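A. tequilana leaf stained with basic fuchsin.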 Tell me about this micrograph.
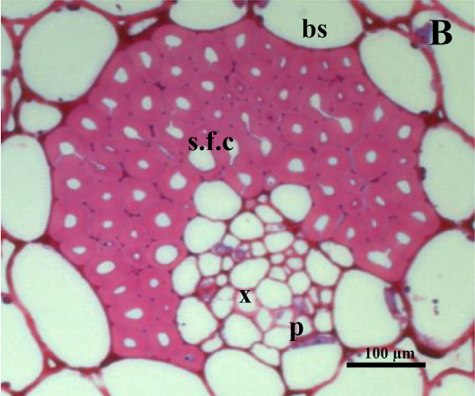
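A vascular bundle of a leaf is seen in cross section, dominated by a large cap of fibers whose thick walls stain deep pink and leave only small, round or slit-like lumens. Beside the cap lies a cluster of smaller, thin-walled conducting cells. Large, rounded, pale cells of the bundle sheath encircle the whole bundle.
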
